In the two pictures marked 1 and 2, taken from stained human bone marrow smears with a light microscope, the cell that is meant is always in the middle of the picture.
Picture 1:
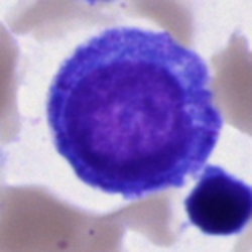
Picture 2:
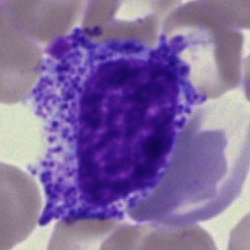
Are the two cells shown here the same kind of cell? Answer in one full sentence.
Yes; the cells in both pictures are promyelocytes.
